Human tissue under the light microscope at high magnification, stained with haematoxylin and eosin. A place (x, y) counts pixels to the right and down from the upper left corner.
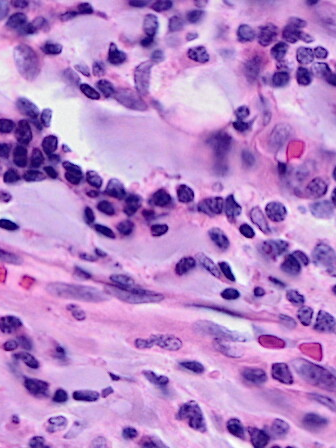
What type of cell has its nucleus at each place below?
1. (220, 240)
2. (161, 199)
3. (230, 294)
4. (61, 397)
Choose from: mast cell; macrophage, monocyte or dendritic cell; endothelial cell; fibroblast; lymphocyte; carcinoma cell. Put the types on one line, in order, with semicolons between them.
mast cell; lymphocyte; lymphocyte; lymphocyte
